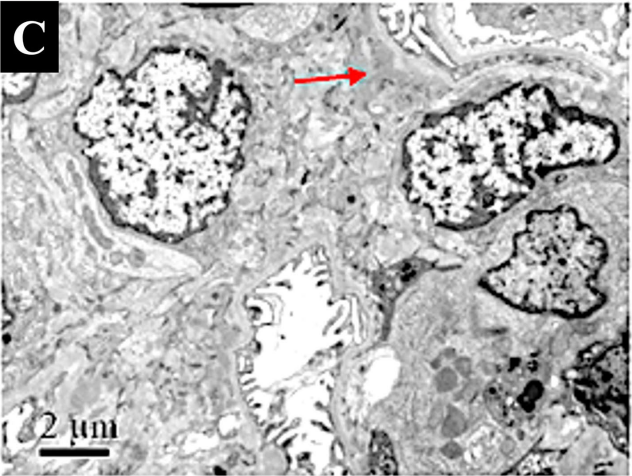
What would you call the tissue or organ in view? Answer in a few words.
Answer: Glomerular mesangium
